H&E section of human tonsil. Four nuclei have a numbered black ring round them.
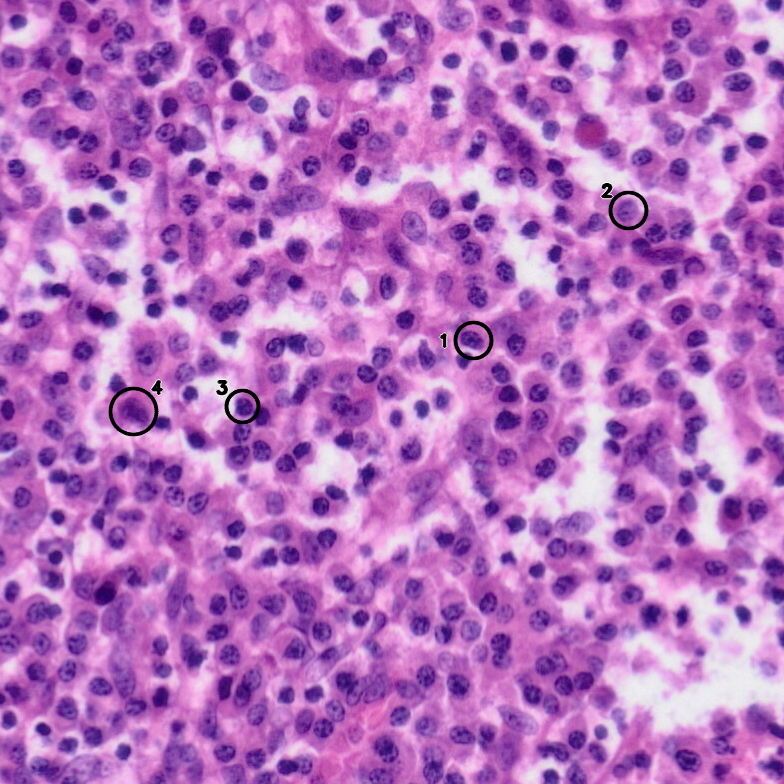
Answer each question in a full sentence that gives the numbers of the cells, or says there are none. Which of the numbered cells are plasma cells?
Marked by the numbers 1, 2 and 3 are cells that are plasma cells.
